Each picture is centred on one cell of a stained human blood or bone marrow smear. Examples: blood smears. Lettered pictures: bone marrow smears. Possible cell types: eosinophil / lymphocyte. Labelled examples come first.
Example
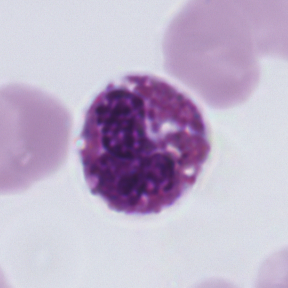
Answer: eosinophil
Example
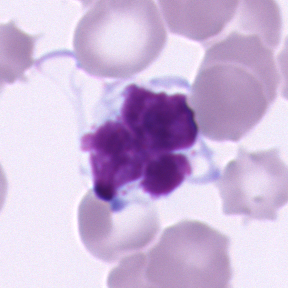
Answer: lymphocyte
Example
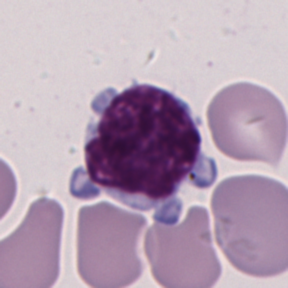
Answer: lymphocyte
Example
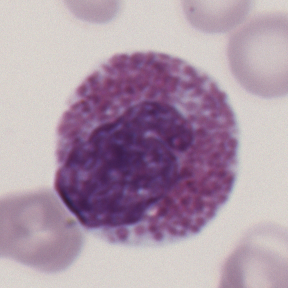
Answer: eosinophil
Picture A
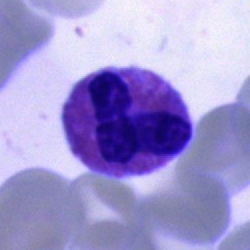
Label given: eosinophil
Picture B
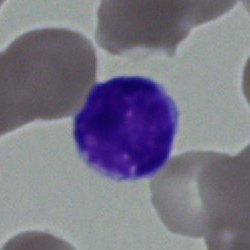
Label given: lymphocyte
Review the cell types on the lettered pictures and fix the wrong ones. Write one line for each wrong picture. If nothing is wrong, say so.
All correct.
